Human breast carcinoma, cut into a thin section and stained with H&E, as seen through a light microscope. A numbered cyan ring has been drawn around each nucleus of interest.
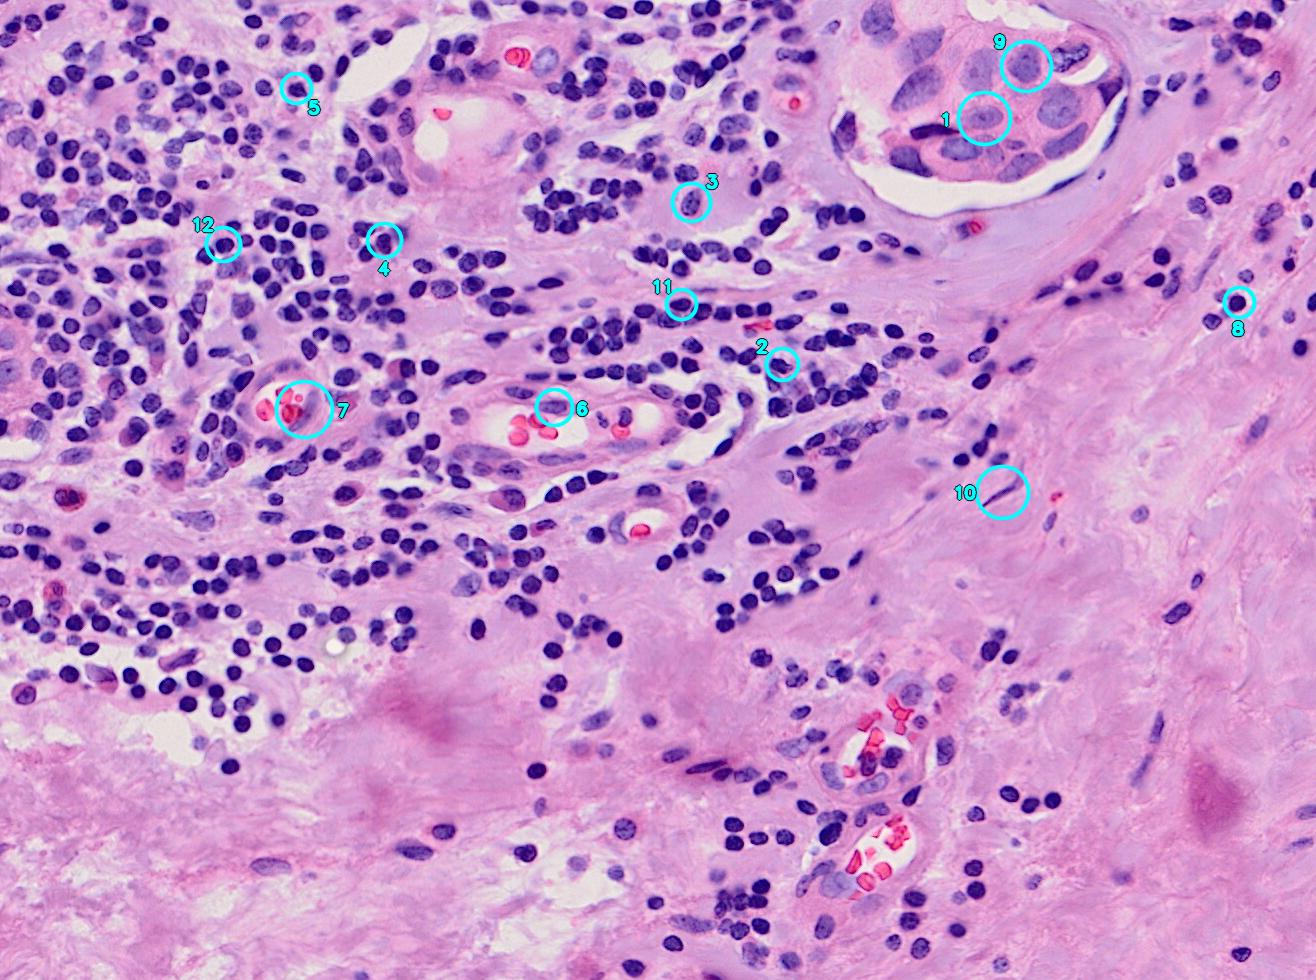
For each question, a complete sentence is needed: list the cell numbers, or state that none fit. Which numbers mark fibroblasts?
Whereas cell 10 is a fibroblast, the other numbered cells are not.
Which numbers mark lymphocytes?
The cells whose numbers are 2, 4, 5, 8, 11 and 12 are lymphocytes.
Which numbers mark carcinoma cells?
The cells bearing the numbers 1 and 9 are carcinoma cells.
